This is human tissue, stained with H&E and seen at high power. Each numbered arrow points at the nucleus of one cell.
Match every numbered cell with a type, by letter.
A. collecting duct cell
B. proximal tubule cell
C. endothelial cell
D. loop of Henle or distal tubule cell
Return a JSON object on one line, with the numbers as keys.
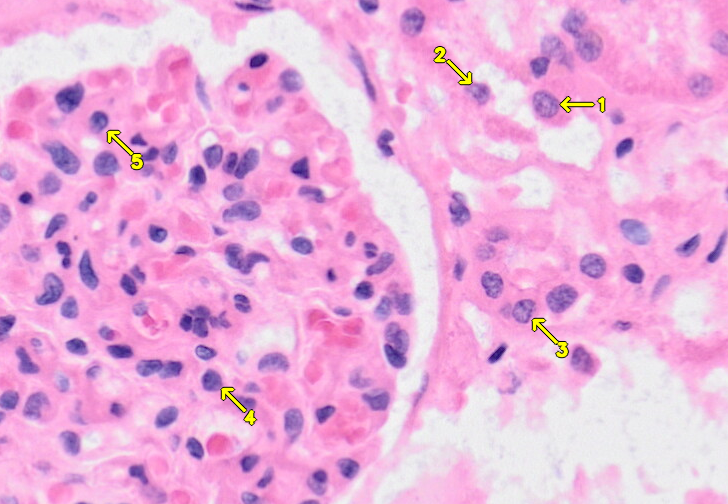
{"1": "B", "2": "B", "3": "A", "4": "C", "5": "C"}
